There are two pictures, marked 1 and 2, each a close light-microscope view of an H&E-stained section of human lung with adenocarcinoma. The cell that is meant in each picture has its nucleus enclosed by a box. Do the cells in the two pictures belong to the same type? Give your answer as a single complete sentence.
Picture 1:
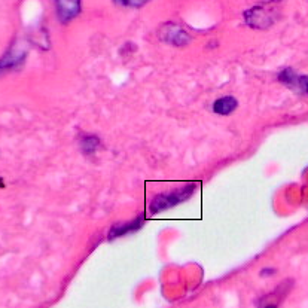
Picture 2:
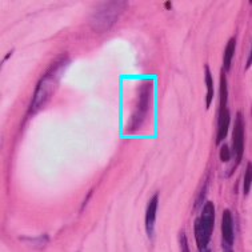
Yes, both cells are endothelial cells.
